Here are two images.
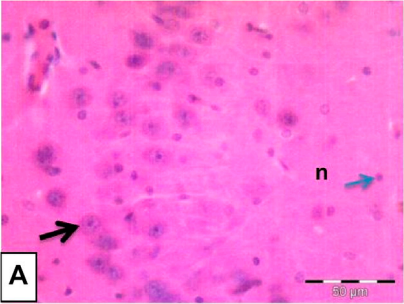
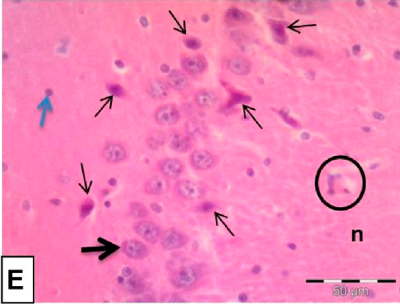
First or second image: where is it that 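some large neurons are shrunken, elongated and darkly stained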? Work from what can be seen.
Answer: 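Second image: several small, dark purple, elongated cells lie among the pale-nucleated neurons.
Conclusion: the second image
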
